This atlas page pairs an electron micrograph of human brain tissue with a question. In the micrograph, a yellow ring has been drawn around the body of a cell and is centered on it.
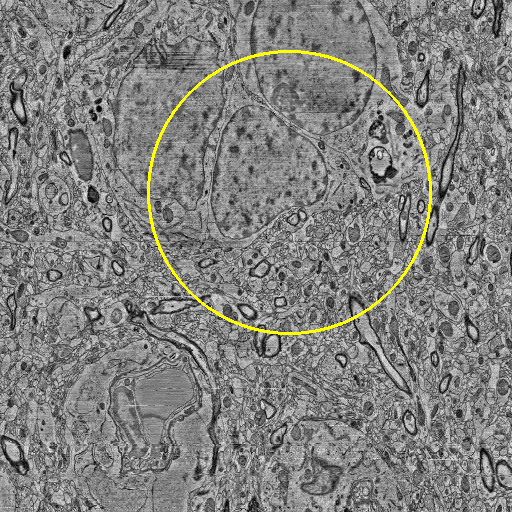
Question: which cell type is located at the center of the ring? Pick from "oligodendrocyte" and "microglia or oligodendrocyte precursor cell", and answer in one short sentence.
Located at the center of the ring is a microglial cell or oligodendrocyte precursor cell.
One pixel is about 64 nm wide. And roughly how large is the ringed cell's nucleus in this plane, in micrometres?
In this plane, roughly 9 by 7 micrometres.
